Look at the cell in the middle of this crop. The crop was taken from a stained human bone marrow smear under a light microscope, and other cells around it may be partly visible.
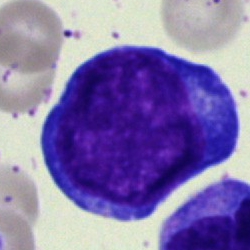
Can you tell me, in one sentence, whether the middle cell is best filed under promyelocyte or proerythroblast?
The crop's centre is taken up by a proerythroblast.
